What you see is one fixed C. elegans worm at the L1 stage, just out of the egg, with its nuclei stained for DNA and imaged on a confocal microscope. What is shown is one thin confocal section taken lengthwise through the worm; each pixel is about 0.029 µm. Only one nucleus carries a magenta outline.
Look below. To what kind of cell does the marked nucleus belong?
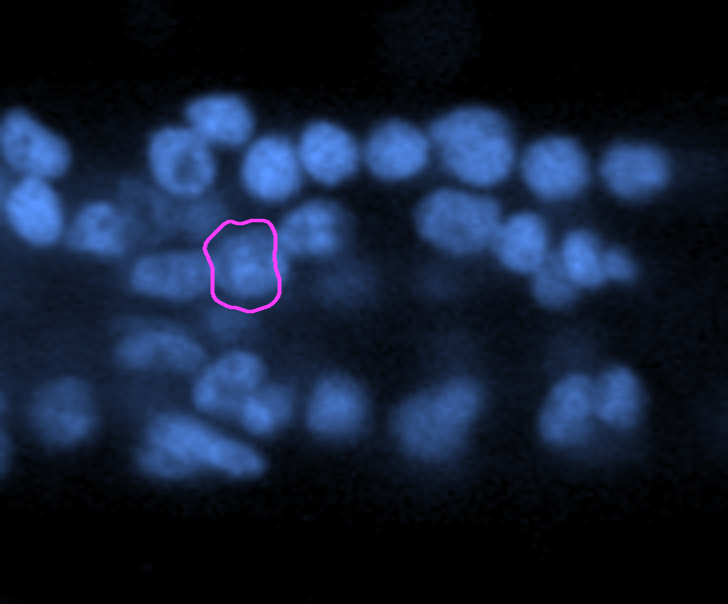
pharyngeal muscle cell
